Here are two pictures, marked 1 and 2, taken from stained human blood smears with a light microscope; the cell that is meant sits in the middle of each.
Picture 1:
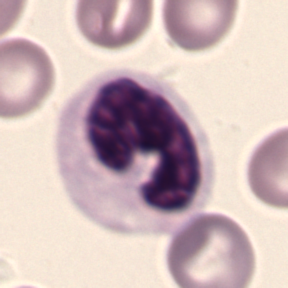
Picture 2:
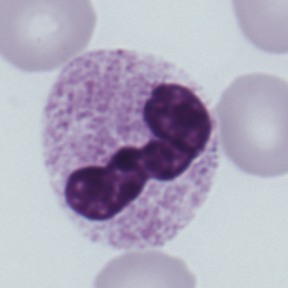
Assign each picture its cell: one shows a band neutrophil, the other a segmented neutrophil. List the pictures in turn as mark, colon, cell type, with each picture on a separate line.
1: band neutrophil
2: segmented neutrophil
